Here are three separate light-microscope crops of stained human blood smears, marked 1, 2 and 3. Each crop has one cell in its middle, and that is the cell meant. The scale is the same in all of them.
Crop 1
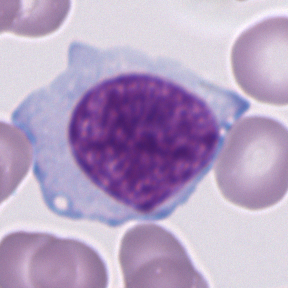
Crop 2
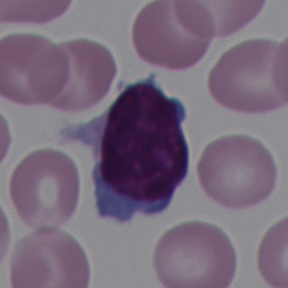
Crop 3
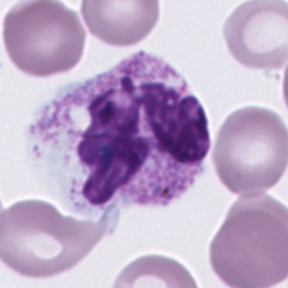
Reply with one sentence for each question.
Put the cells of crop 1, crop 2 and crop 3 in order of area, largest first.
Largest first: 1, 3, 2.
